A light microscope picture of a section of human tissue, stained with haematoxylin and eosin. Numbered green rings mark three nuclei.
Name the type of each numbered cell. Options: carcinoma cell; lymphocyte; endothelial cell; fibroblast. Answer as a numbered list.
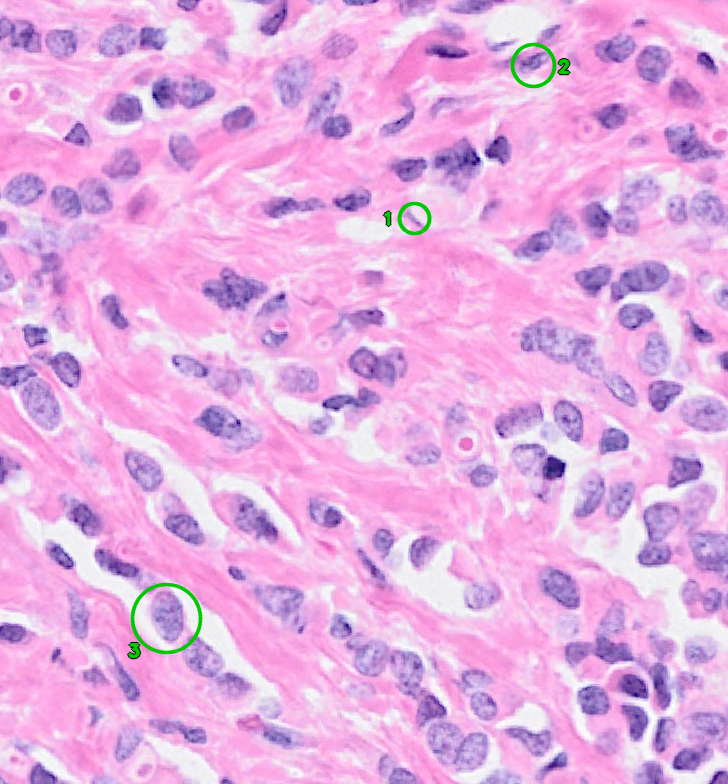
1. fibroblast
2. endothelial cell
3. carcinoma cell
